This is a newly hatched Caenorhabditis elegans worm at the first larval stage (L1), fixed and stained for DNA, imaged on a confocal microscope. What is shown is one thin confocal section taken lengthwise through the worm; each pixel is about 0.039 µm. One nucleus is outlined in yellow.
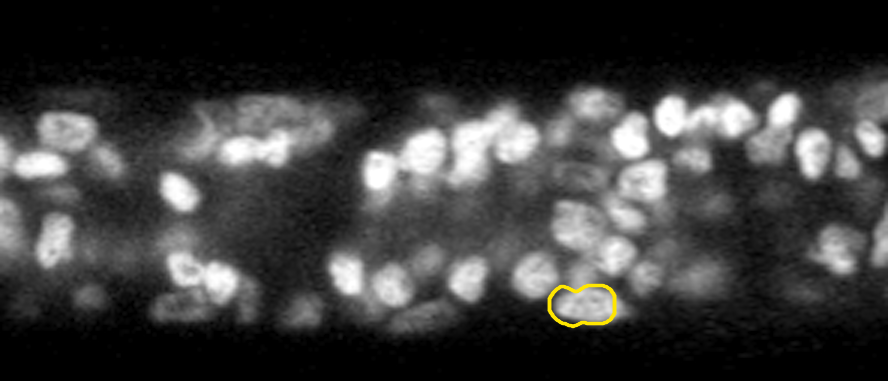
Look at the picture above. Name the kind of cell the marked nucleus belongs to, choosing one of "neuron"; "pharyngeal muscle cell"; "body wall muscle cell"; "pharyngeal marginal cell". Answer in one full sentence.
What is marked is the nucleus of a body wall muscle cell.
